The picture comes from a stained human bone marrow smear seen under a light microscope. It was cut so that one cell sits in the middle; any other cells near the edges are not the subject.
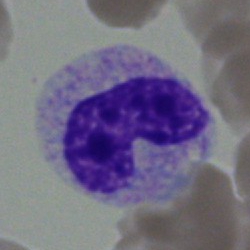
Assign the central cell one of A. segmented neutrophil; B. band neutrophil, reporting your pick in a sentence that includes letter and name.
Here the right option is B, as the cell in the middle is a band neutrophil.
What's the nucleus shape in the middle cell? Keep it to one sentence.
Round, oval or kidney-shaped, the nucleus is one compact mass.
